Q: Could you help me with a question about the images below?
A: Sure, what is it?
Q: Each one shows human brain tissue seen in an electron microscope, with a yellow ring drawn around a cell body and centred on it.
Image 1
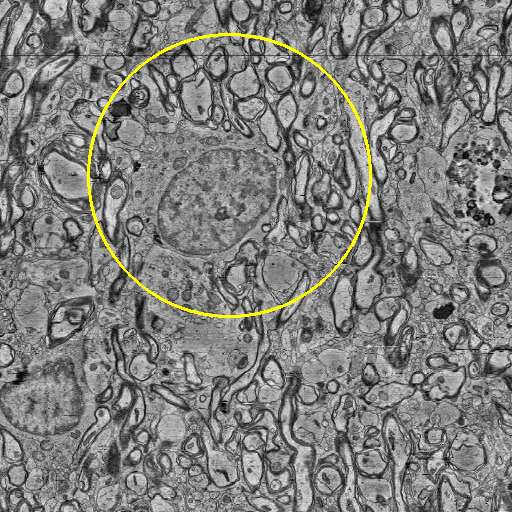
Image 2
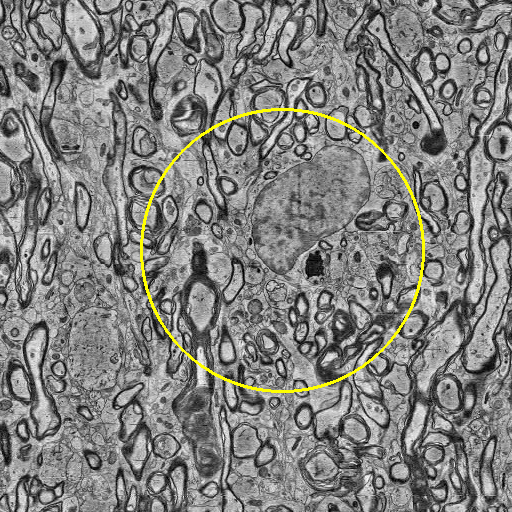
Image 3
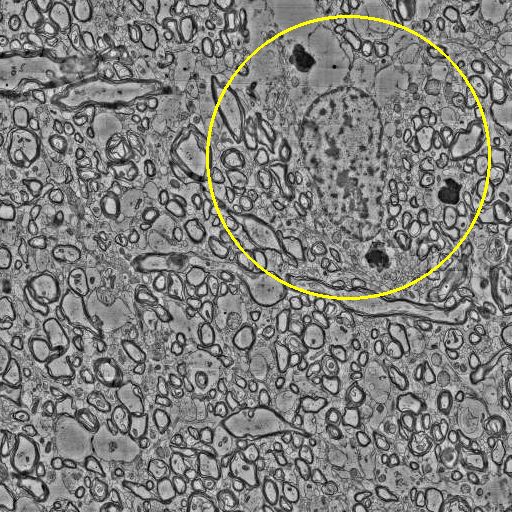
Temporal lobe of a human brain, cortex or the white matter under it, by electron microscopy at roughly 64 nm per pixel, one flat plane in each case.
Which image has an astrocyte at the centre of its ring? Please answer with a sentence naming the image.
Image 3 has it at the centre of its ring.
